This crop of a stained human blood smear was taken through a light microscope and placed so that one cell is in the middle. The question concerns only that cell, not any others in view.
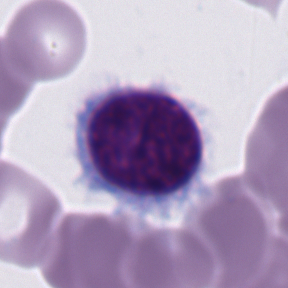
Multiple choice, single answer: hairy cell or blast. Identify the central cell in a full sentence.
The centrally placed cell is classified as a hairy cell.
